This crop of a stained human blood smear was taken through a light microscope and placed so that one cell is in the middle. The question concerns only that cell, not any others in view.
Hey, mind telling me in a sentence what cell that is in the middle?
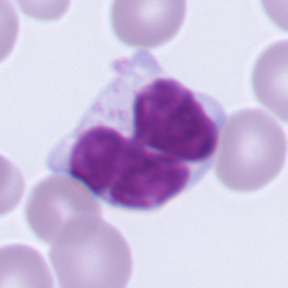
In the centre of this crop there is a large granular lymphocyte.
